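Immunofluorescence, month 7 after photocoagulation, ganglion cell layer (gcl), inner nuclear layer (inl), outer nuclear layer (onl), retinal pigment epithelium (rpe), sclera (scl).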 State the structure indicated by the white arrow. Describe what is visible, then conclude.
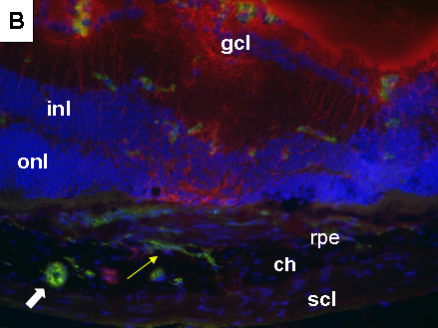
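Vessels. It lies in the layer below the retina, above the sclera.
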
